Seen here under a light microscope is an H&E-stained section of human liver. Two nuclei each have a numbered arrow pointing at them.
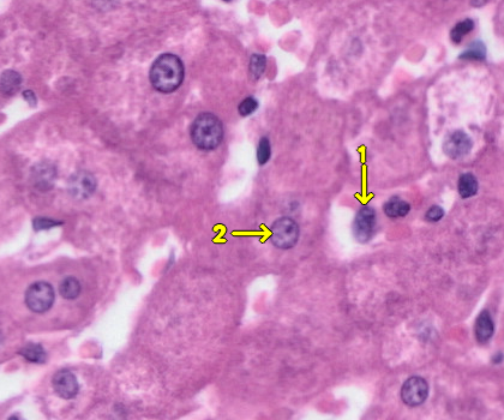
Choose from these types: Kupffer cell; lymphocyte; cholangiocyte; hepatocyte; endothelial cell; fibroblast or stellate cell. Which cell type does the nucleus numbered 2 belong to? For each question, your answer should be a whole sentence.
The cell marked with the number 2 is a hepatocyte.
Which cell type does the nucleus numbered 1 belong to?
Denoted by the label 1 in the section is a Kupffer cell.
